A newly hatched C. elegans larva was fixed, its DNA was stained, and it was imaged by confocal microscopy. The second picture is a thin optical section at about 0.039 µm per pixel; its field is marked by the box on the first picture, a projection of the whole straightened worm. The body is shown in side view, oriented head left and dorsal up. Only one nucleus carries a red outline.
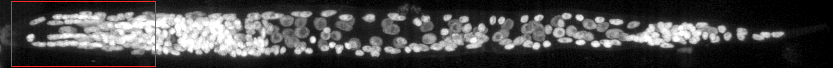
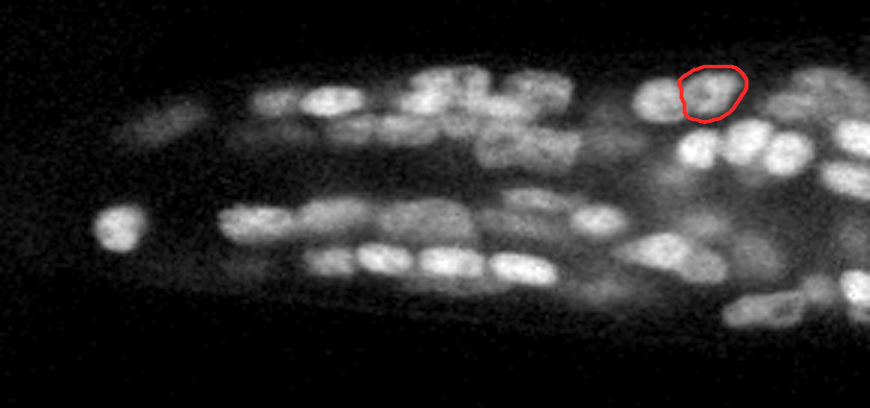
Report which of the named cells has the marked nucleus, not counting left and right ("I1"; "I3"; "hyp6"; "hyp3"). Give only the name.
hyp6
